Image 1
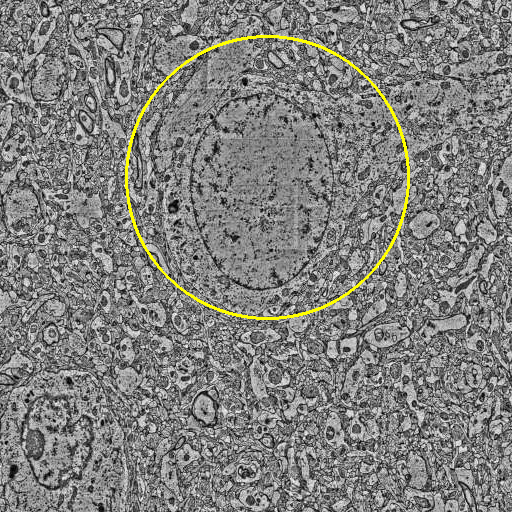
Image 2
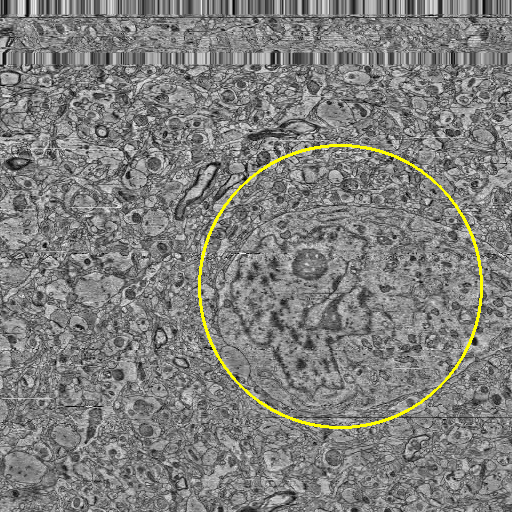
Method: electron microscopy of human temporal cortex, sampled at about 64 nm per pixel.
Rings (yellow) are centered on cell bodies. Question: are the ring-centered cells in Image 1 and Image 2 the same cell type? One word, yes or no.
no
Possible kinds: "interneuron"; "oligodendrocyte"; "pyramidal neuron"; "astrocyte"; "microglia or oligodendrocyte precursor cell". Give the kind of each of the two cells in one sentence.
The cell in the second picture is an interneuron, and that in the first is a pyramidal neuron.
